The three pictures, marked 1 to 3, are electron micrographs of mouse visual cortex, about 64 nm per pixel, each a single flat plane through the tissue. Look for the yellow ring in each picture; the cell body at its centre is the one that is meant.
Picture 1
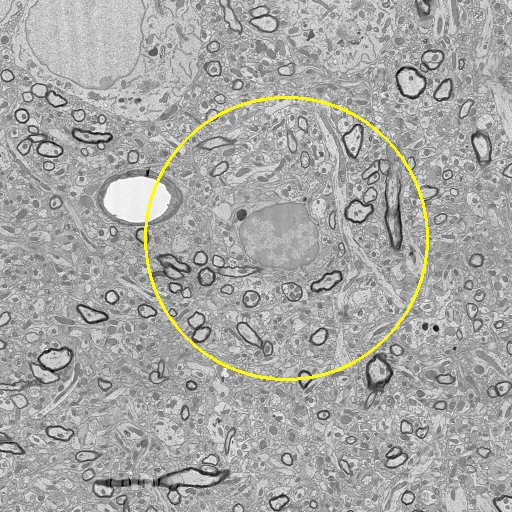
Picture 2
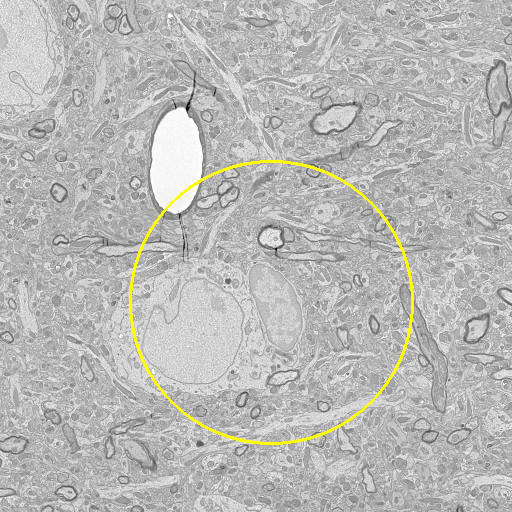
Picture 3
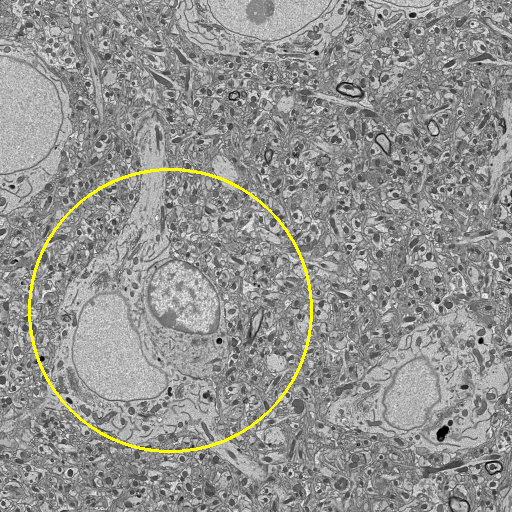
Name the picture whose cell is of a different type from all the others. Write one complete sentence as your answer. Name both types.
All pictures except 3 show microglial cells; picture 3 shows an oligodendrocyte.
